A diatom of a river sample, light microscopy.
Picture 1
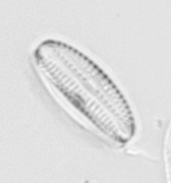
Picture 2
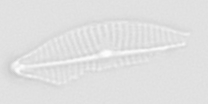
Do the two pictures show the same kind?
No: Amphora, then Navicula.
